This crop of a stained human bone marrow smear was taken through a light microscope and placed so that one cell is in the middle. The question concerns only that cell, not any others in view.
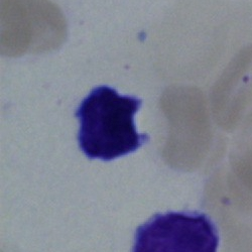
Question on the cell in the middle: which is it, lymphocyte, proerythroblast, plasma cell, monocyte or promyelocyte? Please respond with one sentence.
Regarding the central cell, it is a lymphocyte.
